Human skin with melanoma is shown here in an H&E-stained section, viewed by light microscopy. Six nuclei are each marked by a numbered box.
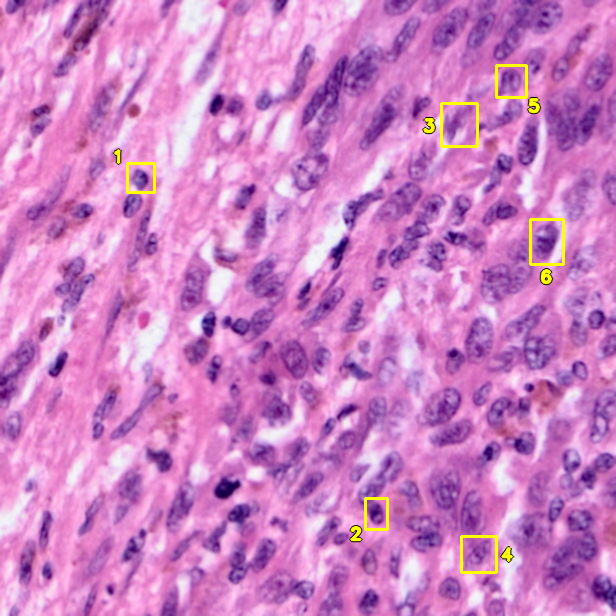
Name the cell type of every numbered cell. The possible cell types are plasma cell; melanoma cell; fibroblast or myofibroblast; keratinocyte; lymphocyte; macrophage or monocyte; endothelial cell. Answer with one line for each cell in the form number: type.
1: lymphocyte
2: lymphocyte
3: melanoma cell
4: melanoma cell
5: melanoma cell
6: melanoma cell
